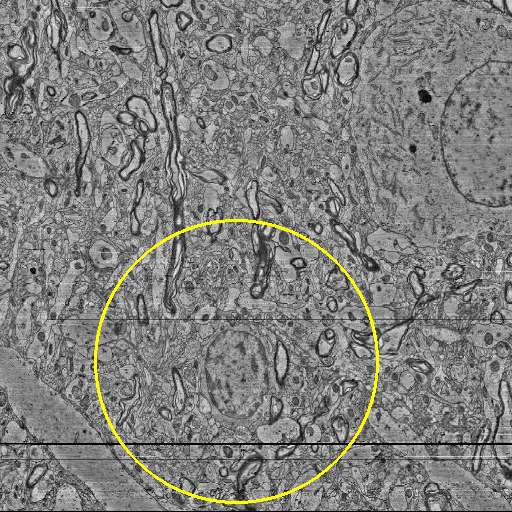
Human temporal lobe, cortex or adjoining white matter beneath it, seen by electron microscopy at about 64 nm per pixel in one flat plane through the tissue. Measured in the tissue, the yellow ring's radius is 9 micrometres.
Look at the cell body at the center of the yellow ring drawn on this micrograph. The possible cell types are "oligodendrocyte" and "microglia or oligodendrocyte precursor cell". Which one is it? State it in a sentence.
The cell in the middle of the ring is an oligodendrocyte.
